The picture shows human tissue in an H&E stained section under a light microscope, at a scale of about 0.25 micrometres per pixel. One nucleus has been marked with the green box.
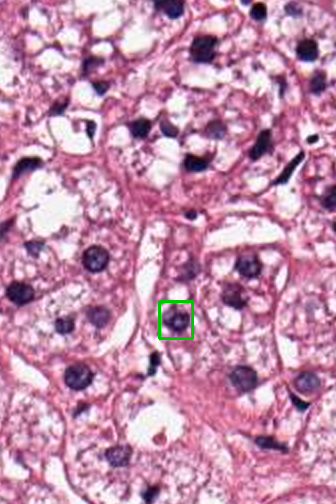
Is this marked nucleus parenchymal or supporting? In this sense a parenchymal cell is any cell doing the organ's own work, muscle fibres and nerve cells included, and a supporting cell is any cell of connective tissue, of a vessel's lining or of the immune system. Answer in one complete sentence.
Seen here, the marked nucleus belongs to a parenchymal cell, namely an adrenal cortical cell.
